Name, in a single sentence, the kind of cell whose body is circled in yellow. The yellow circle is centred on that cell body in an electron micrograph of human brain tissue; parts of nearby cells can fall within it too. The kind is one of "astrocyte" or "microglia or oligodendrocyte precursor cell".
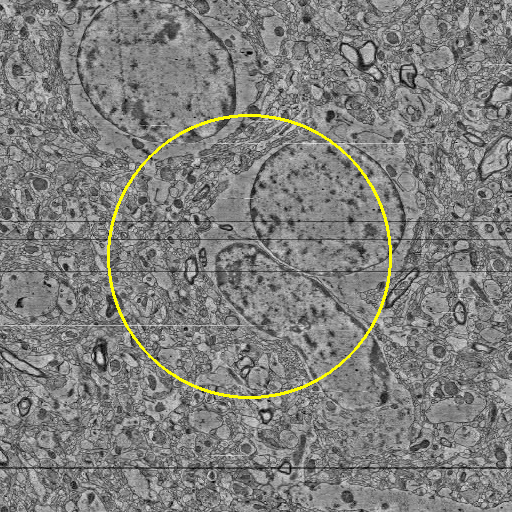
The circled cell body belongs to a microglial cell or oligodendrocyte precursor cell.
